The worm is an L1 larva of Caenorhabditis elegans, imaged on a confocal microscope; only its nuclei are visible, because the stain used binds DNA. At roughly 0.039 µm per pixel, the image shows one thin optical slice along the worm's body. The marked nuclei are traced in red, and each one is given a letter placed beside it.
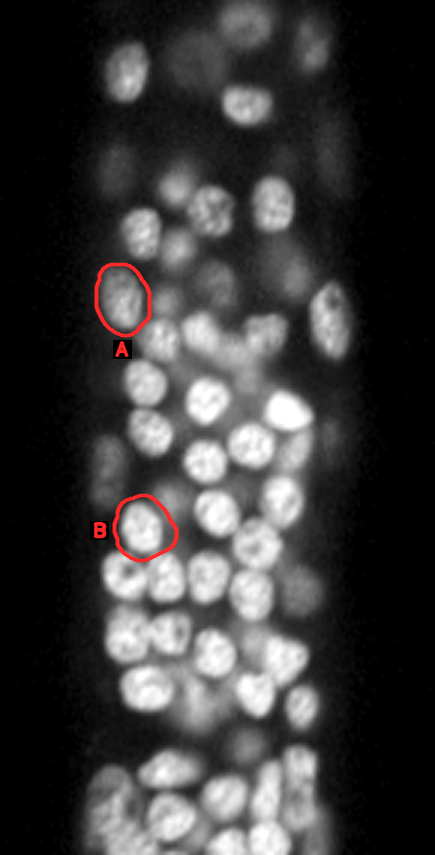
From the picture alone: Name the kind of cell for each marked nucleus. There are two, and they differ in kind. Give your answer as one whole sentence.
The nucleus A is that of a body wall muscle cell, while B is that of a neuron.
